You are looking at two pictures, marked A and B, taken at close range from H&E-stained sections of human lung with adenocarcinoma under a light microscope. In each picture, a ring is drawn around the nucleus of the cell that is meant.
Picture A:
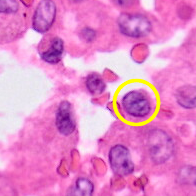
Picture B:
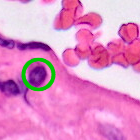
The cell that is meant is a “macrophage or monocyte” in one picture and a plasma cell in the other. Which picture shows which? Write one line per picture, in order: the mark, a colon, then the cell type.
A: macrophage or monocyte
B: plasma cell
